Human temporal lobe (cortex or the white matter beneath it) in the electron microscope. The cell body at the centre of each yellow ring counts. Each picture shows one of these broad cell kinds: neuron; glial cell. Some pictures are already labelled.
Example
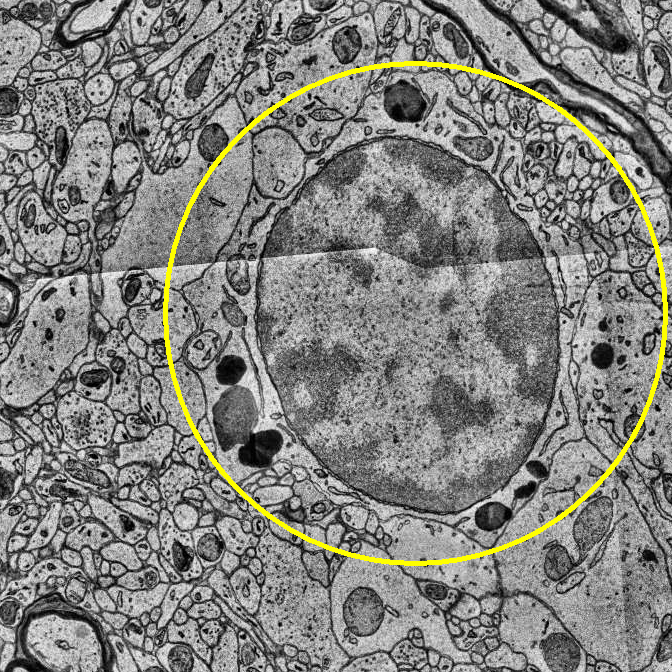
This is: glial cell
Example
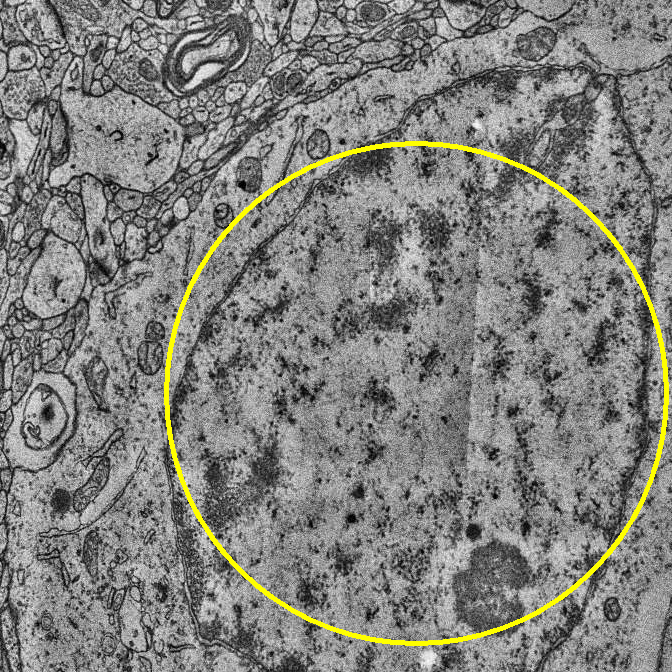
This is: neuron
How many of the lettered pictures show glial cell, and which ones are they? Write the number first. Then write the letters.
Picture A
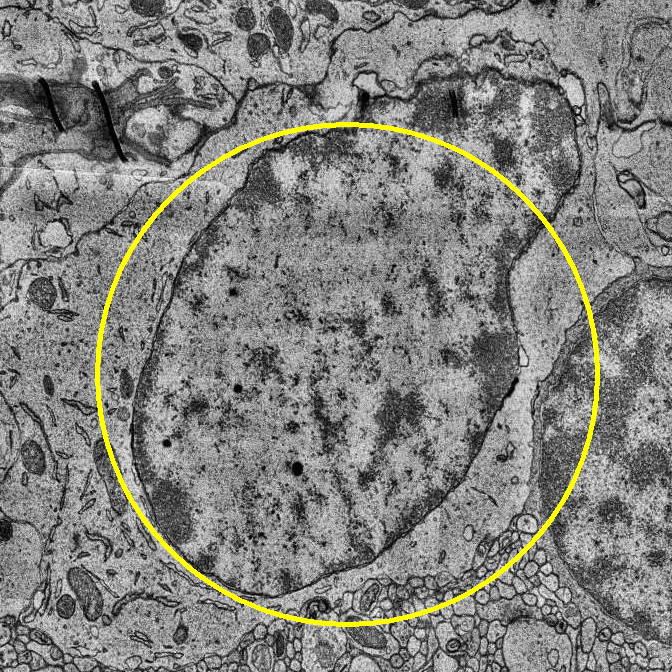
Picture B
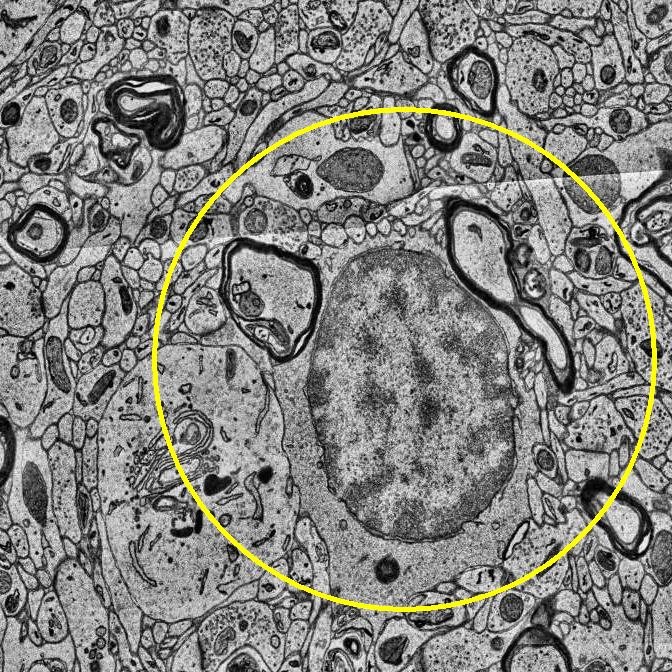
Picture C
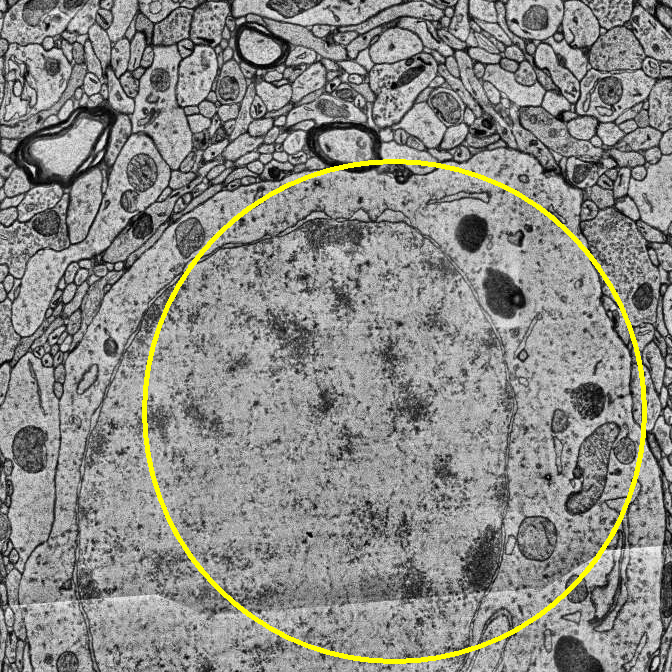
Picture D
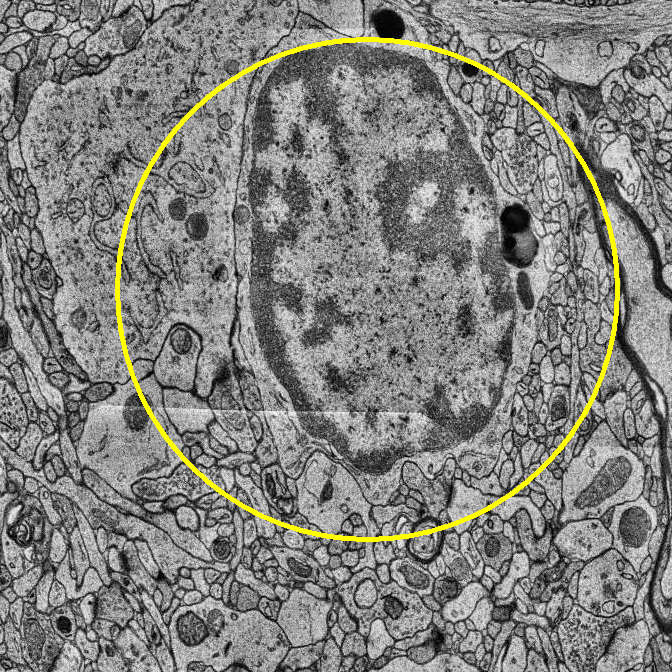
3, namely A, B, D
